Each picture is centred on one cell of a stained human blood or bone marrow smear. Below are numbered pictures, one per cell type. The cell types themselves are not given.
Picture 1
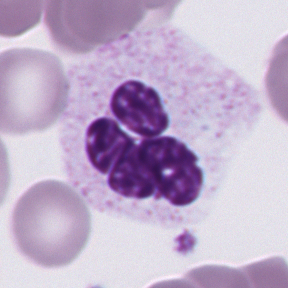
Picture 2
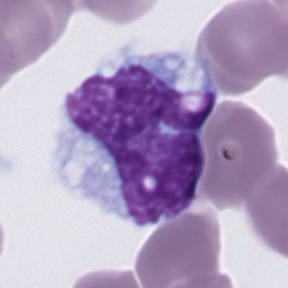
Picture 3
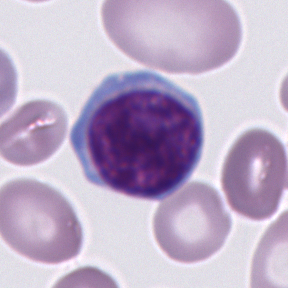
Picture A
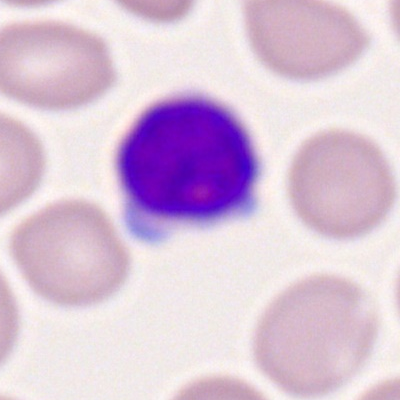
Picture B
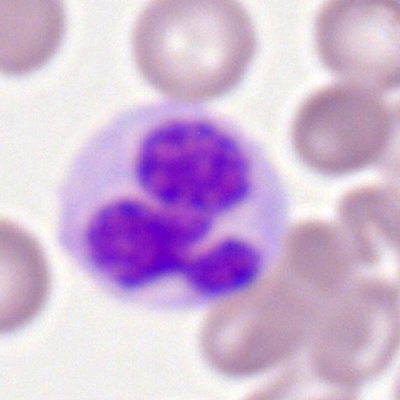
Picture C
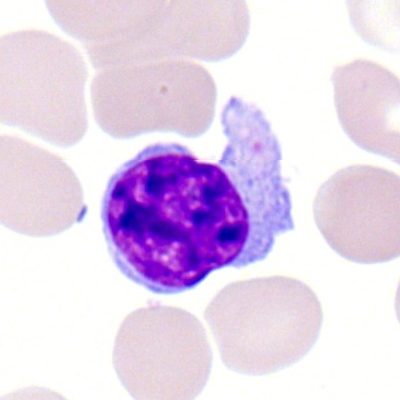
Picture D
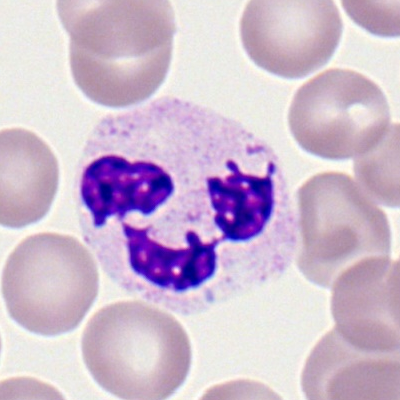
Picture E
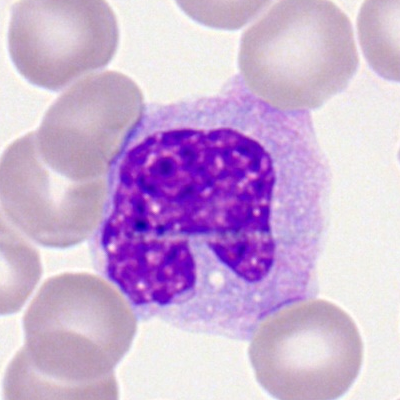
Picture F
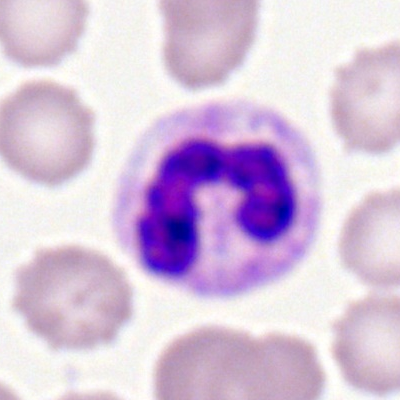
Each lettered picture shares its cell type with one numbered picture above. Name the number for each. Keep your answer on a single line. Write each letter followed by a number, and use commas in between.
A 3, B 2, C 3, D 1, E 2, F 1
